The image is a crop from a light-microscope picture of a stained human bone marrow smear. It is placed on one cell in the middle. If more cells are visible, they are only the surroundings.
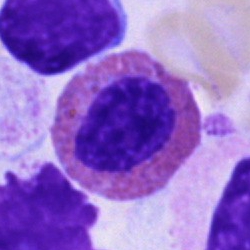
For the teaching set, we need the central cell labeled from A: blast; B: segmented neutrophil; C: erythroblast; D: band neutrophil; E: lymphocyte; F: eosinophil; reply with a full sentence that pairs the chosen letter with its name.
The central cell of the crop is an eosinophil, which makes F the correct option.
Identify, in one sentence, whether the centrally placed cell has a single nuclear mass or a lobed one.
Have a look at the nucleus, which is one compact mass, round, oval or kidney-shaped.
